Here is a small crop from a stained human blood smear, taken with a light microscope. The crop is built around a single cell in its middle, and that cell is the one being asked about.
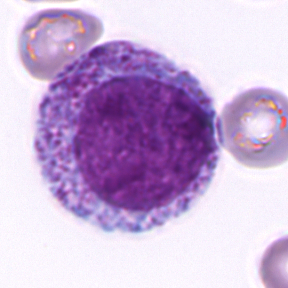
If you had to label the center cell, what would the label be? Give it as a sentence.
The center cell of this crop is a promyelocyte.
